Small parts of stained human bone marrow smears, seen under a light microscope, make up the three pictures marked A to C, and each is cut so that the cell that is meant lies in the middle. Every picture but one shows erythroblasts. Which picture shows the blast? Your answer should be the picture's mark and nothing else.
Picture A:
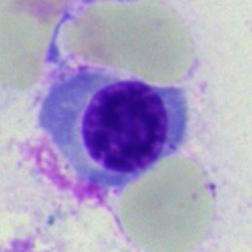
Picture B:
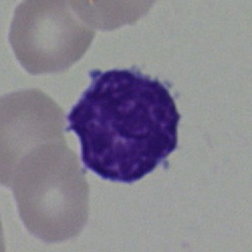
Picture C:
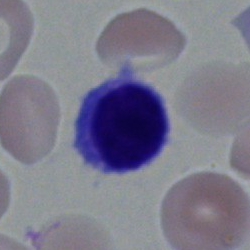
B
